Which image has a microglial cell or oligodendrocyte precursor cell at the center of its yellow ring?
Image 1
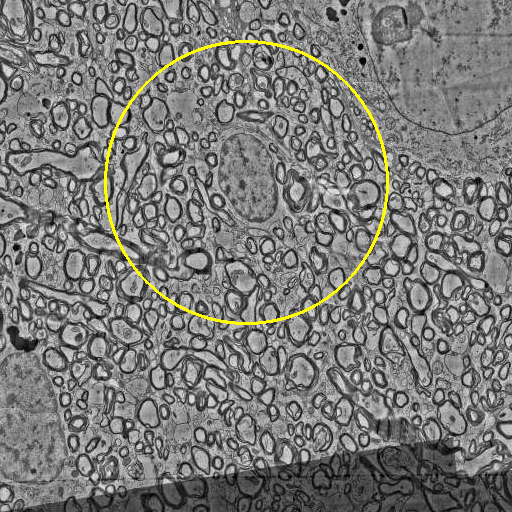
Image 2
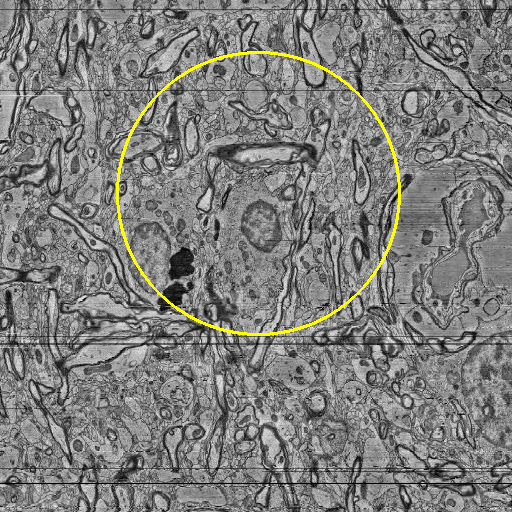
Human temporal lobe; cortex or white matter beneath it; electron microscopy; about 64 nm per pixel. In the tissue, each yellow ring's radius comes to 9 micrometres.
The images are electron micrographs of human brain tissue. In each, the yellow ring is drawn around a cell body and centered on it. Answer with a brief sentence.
It is at the center of the ring in Image 1.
